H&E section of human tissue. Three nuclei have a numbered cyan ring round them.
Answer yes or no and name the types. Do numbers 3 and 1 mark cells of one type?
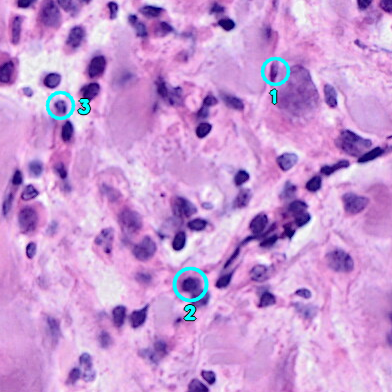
No, the cell numbered 3 is a lymphocyte, and the cell numbered 1 is a fibroblast.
